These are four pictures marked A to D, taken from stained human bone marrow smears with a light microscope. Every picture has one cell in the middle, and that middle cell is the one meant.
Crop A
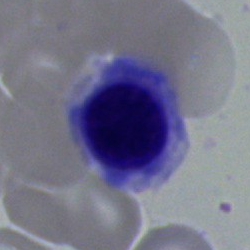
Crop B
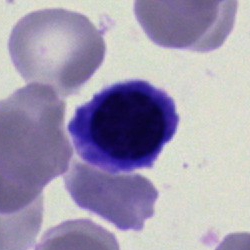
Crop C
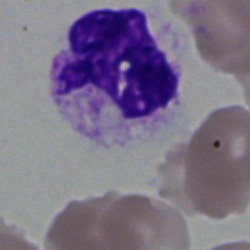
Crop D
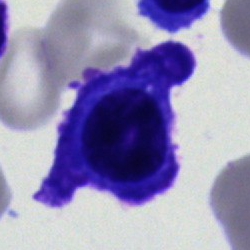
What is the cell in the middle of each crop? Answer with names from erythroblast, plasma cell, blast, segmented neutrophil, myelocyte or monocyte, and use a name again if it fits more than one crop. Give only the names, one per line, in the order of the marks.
erythroblast
erythroblast
segmented neutrophil
plasma cell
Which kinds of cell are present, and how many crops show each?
erythroblast: 2
segmented neutrophil: 1
plasma cell: 1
